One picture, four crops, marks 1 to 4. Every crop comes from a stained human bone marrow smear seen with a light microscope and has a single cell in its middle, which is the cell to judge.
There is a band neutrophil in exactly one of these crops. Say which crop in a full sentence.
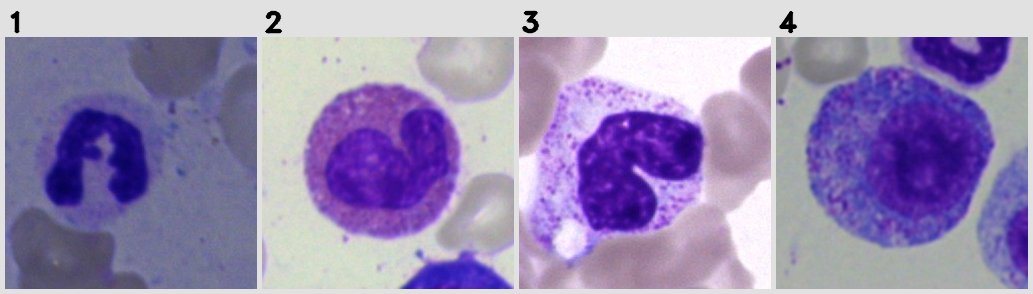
The one showing a band neutrophil is crop 3.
